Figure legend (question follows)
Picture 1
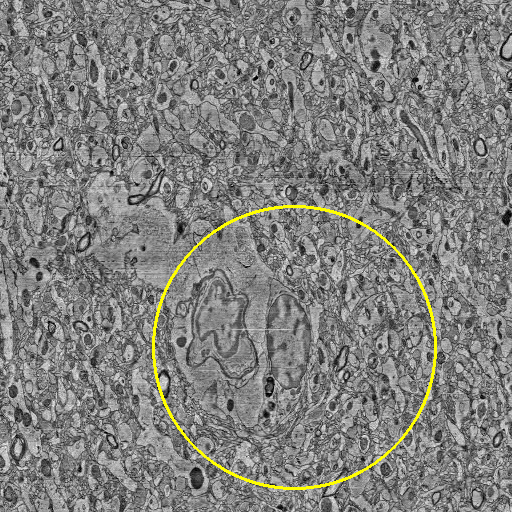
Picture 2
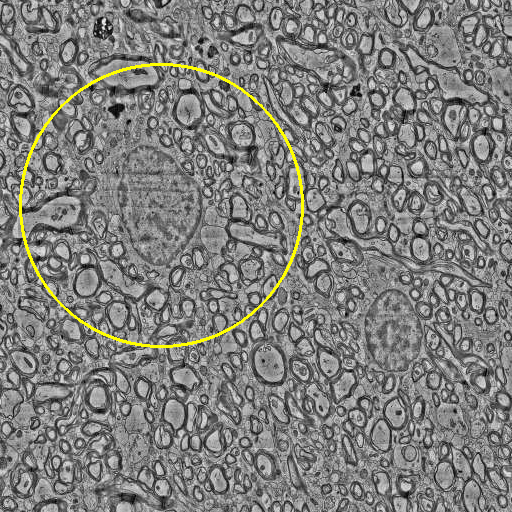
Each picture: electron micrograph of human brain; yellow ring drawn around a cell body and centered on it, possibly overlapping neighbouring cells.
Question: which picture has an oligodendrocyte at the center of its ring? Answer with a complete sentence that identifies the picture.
Picture 2 has it at the center of its ring.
